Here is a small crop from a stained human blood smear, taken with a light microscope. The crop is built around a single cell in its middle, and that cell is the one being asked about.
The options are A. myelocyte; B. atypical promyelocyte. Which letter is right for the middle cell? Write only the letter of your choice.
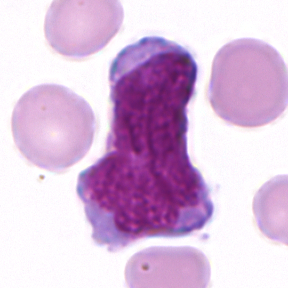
B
